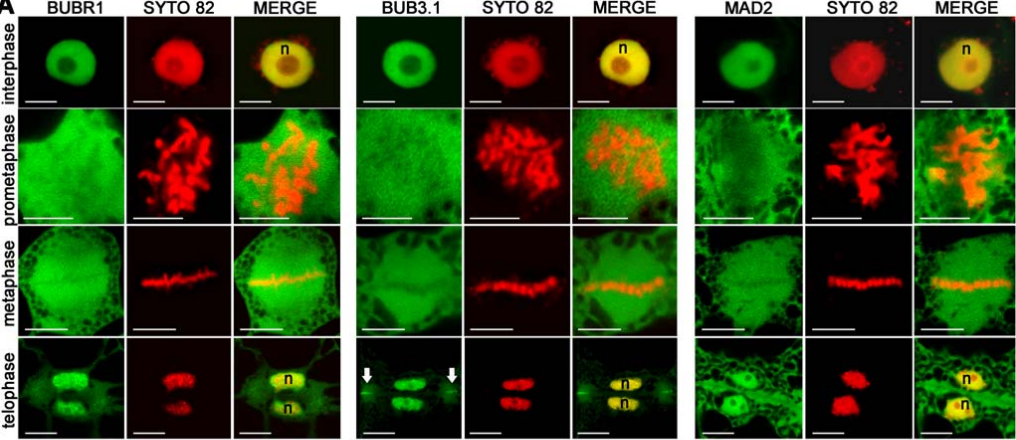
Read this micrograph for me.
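In the next row the chromosomes have condensed into separate red rods, while the green spreads diffusely through the cell. Further down the red chromosomes line up in a thin band across the cell centre, with the green filling the cytoplasm and outlining a network at the cell edge. In the bottom row two compact red chromosome masses lie apart, and the green gathers in two rounded bodies that turn yellow in the merge.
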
